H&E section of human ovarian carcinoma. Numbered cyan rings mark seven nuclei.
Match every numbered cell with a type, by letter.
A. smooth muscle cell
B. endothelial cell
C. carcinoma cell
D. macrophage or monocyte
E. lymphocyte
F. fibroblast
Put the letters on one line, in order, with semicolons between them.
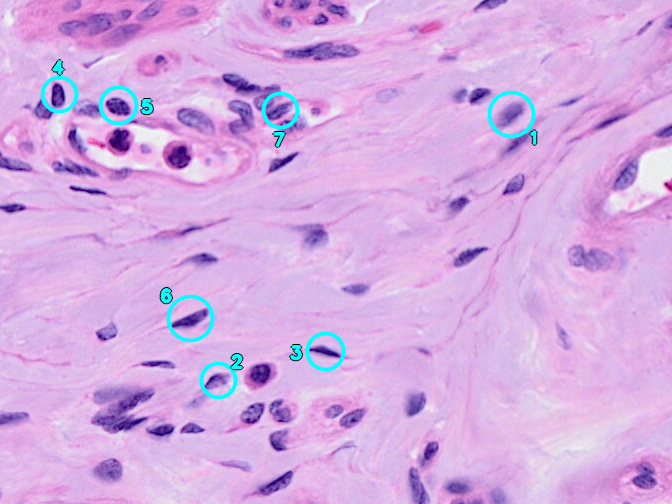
F; F; F; E; E; F; B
